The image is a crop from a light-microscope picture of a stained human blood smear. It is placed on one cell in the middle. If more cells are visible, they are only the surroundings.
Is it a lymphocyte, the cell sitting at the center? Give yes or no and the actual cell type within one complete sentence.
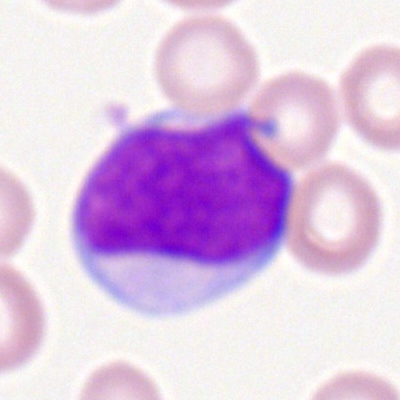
No, a blast rather than a lymphocyte is the cell at the centre of the crop.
